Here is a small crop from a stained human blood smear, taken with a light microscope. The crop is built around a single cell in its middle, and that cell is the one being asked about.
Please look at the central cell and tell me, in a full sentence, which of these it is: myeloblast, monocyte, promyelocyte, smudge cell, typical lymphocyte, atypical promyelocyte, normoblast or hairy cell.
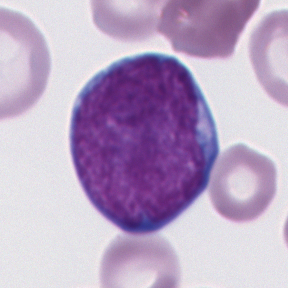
For this crop, the cell in the middle is a myeloblast.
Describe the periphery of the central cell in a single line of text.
Edge check done: smooth outline, no projections present.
